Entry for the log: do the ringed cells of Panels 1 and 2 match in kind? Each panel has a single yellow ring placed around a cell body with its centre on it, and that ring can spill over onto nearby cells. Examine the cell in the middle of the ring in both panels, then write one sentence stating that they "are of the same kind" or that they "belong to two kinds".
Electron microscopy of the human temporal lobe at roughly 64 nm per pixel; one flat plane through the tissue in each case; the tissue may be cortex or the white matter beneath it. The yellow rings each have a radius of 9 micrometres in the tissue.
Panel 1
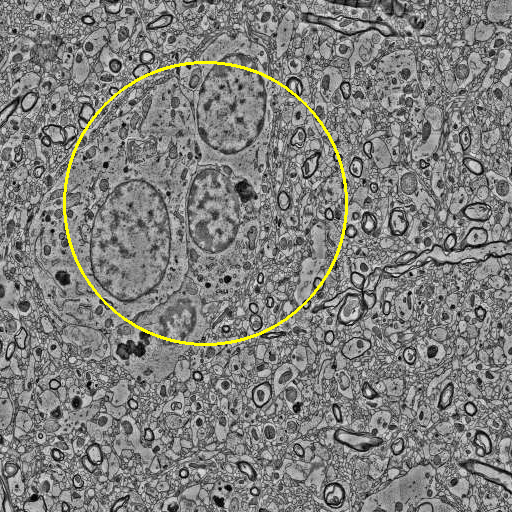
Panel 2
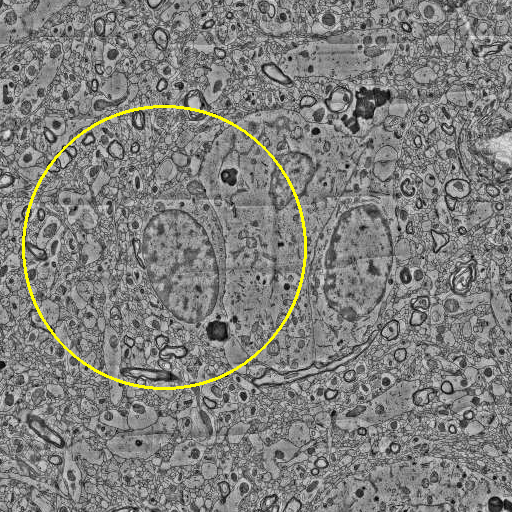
The centre cell of Panel 1's ring and that of Panel 2's ring are of the same kind.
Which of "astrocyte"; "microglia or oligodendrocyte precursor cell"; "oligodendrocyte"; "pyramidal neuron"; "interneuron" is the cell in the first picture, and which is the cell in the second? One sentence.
Each cell, in the first picture and the second, is an oligodendrocyte.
